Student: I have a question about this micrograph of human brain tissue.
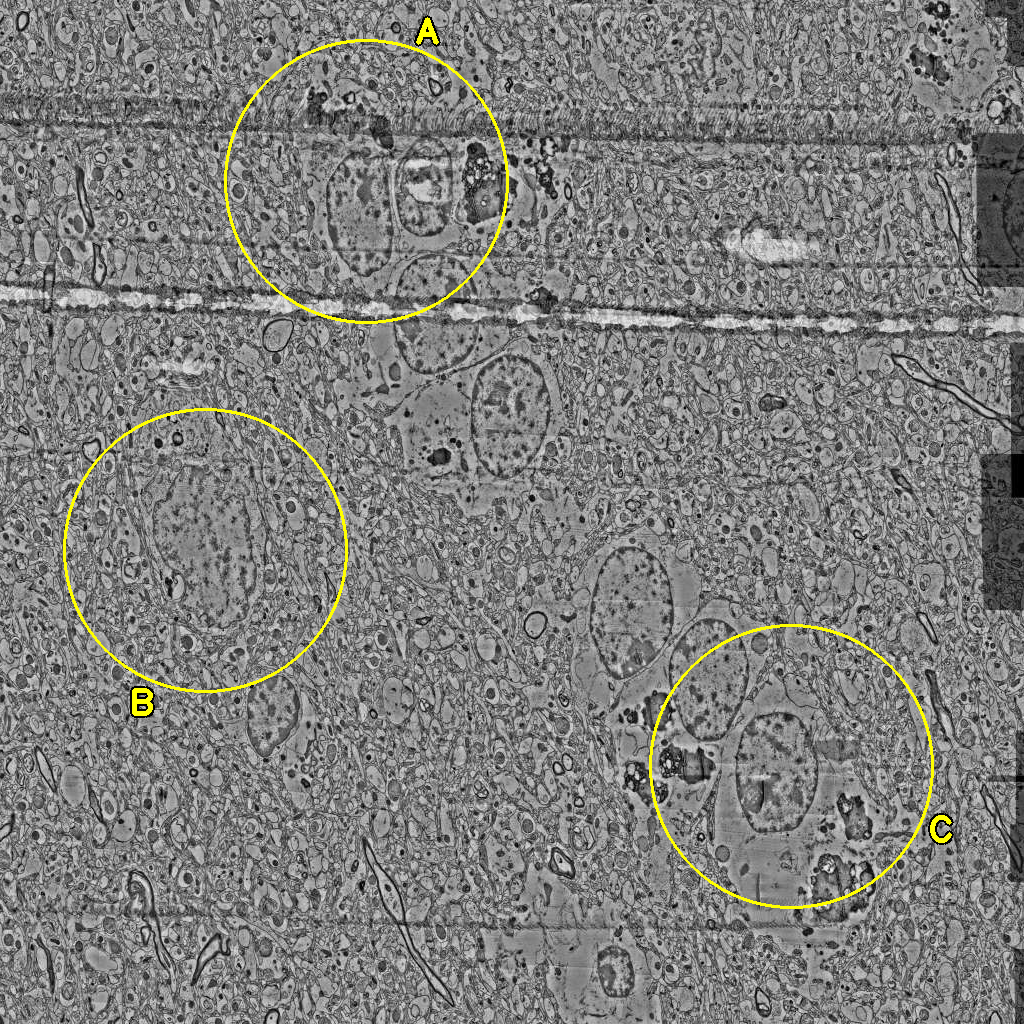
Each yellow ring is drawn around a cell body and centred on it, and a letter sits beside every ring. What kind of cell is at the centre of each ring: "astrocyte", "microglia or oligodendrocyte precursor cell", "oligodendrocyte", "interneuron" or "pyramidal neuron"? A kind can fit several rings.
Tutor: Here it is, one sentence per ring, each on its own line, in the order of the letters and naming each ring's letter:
For ring A, the cell at the centre is an astrocyte.
For ring B, the cell at the centre is an interneuron.
For ring C, the cell at the centre is an astrocyte.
